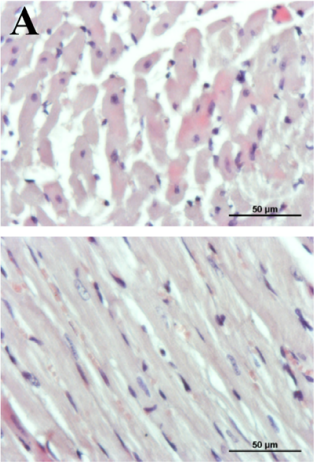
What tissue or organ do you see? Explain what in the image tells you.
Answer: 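Pink-staining muscle fibers with centrally placed oval nuclei. On this evidence: myocardial tissue.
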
